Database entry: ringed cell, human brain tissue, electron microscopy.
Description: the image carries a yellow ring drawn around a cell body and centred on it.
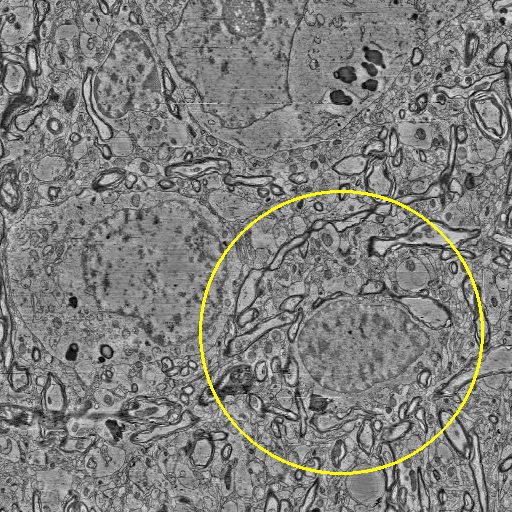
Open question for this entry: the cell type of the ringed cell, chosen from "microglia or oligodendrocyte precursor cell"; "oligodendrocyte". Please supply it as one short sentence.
The ringed cell is an oligodendrocyte.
